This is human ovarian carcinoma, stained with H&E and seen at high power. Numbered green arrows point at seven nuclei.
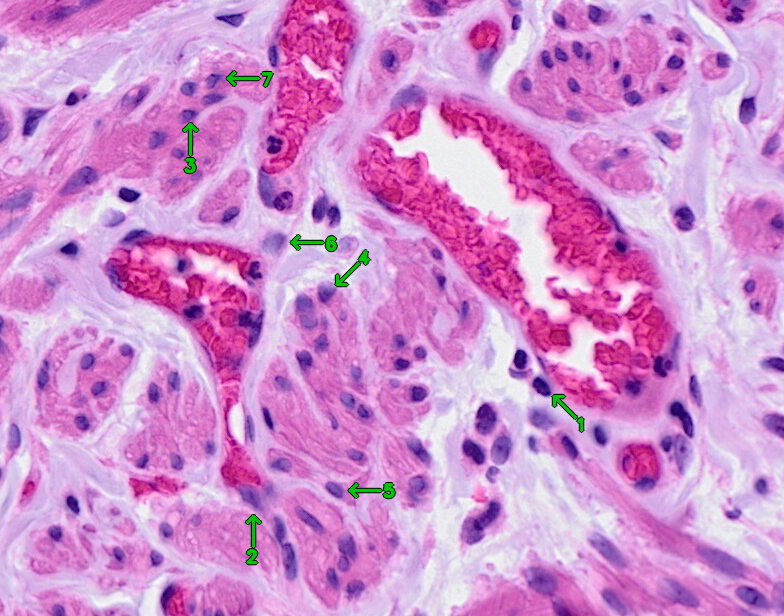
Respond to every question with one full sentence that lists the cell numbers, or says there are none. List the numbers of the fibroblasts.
Of the numbered cells, only cell 6 is a fibroblast.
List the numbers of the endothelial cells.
Of the cells bearing numbers, the only one that is an endothelial cell is cell 2.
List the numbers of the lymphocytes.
Cell 1 is a lymphocyte, while all remaining marked cells are of other types.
